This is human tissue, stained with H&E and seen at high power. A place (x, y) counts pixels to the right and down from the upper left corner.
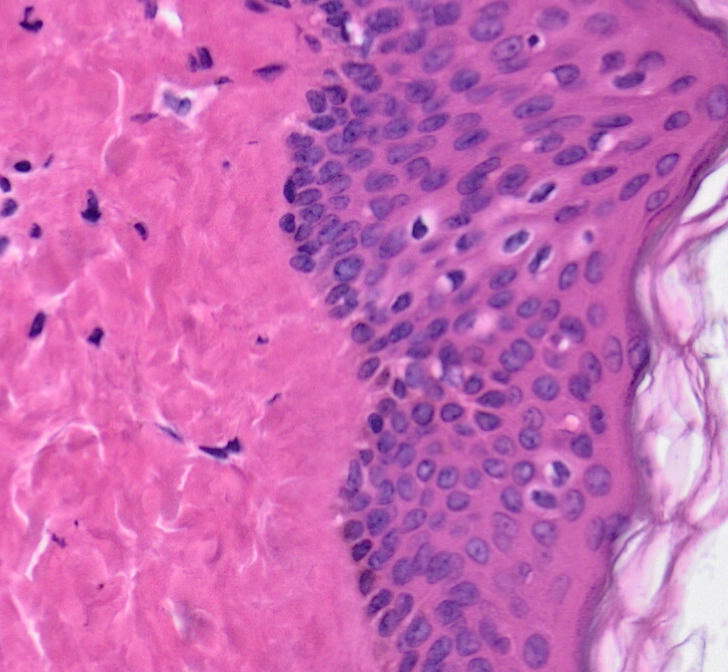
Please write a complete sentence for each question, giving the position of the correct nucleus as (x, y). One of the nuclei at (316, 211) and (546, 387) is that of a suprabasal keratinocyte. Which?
The nucleus contained in a suprabasal keratinocyte is the one at (546, 387).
